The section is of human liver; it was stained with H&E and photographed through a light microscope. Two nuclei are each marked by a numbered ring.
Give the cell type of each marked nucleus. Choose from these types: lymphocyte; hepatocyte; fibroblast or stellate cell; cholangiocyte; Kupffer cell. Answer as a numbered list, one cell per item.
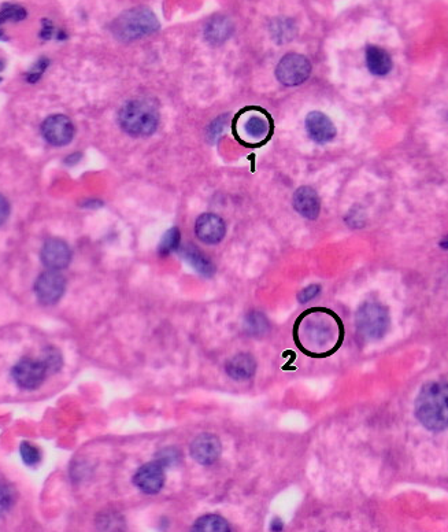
1. lymphocyte
2. hepatocyte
